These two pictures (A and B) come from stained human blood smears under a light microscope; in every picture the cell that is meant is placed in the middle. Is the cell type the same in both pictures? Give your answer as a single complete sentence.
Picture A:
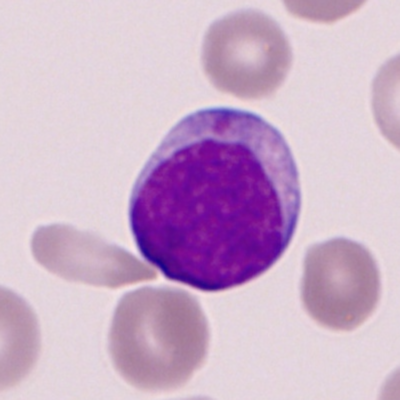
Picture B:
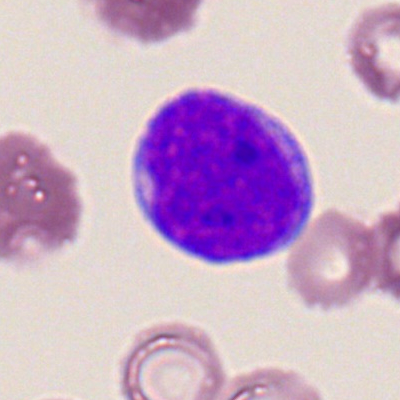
Yes, both cells are myeloblasts.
